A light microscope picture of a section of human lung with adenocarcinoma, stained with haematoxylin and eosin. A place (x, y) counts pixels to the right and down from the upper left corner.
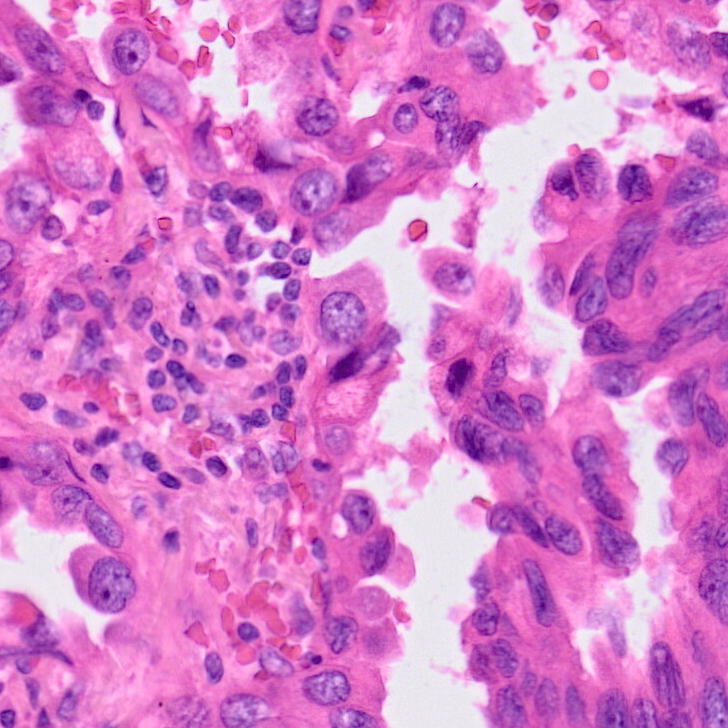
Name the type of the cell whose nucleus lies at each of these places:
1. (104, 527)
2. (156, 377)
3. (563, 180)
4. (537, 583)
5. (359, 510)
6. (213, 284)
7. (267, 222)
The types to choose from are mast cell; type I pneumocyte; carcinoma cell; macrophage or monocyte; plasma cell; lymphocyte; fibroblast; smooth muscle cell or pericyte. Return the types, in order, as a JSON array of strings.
["carcinoma cell", "lymphocyte", "carcinoma cell", "carcinoma cell", "carcinoma cell", "lymphocyte", "lymphocyte"]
